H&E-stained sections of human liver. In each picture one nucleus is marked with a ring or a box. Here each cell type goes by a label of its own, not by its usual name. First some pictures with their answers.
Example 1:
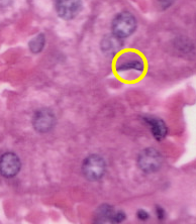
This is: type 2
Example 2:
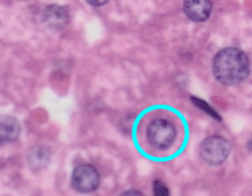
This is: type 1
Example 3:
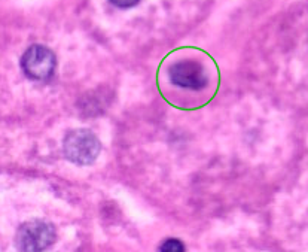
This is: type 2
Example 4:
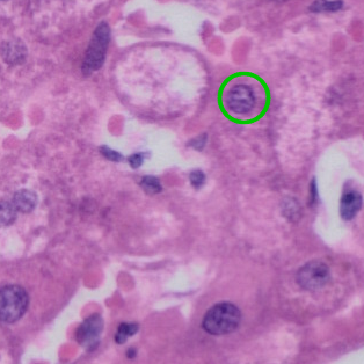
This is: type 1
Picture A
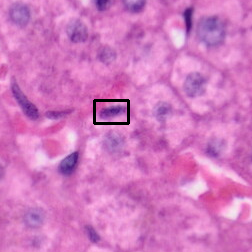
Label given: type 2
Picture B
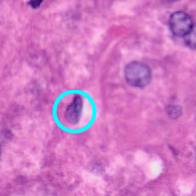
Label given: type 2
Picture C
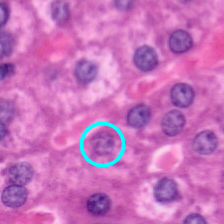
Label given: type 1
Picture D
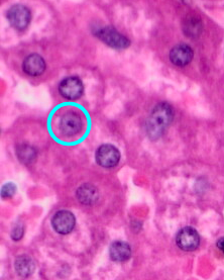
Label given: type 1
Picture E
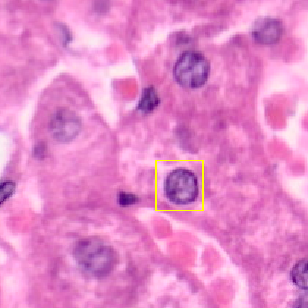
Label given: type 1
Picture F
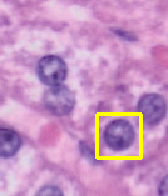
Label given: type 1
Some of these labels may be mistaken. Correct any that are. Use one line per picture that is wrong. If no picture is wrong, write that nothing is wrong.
No label is wrong.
